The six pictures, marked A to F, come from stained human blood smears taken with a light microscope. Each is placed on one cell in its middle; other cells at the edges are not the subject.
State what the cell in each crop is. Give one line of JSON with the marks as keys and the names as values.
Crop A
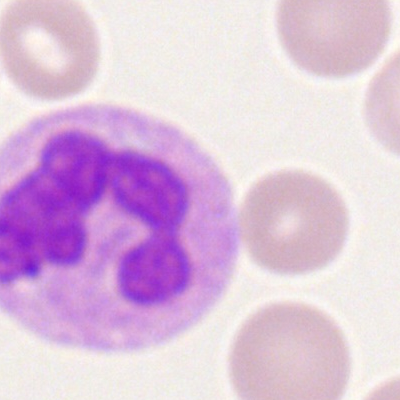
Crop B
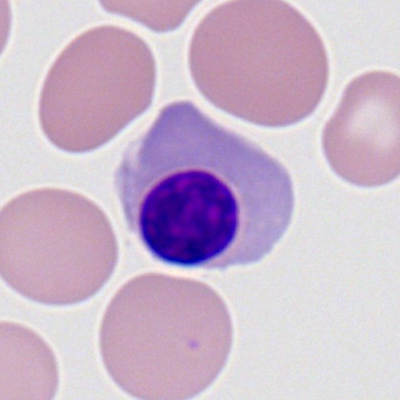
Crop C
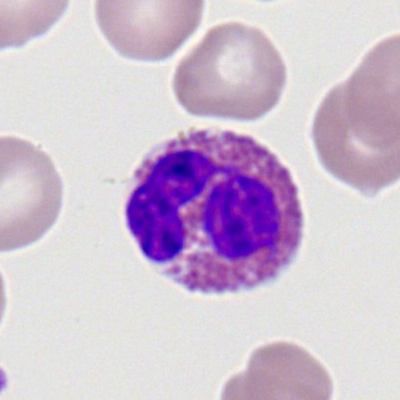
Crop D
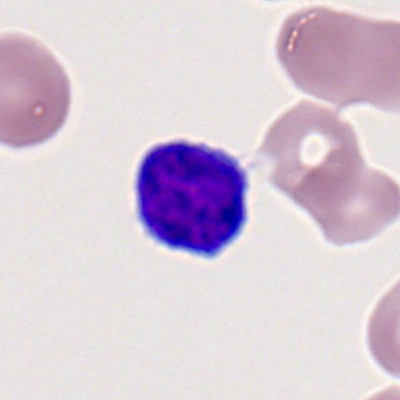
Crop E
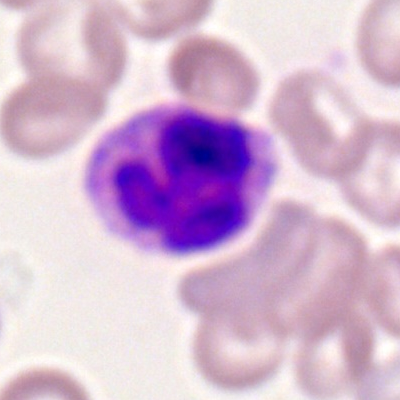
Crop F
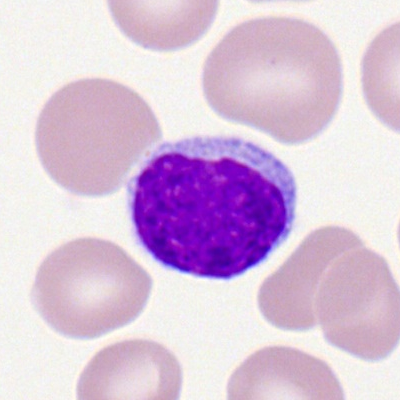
{"A": "segmented neutrophil", "B": "erythroblast", "C": "eosinophil", "D": "lymphocyte", "E": "basophil", "F": "lymphocyte"}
